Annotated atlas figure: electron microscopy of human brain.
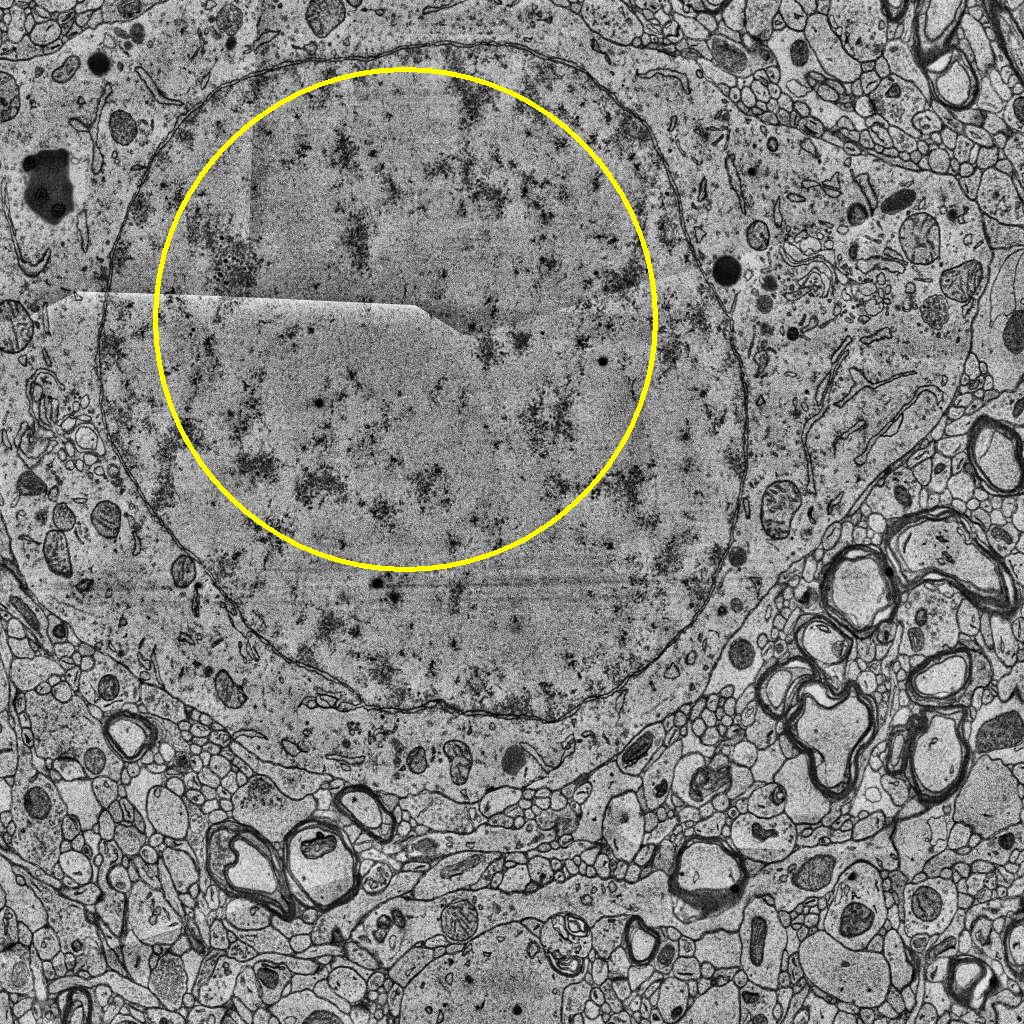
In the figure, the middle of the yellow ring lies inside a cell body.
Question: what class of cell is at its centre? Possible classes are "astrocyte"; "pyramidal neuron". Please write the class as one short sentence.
The yellow ring's centre lies in a pyramidal neuron.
